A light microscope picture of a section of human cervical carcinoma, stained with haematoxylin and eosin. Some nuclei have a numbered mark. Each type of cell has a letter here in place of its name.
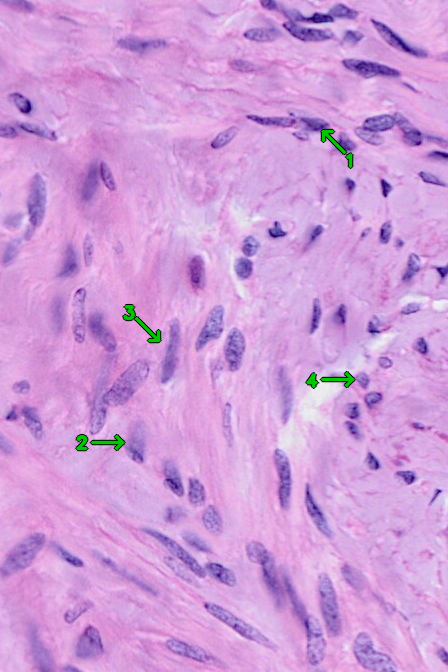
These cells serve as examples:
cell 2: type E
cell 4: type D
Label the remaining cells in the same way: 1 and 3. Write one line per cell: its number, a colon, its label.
1: type E
3: type E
